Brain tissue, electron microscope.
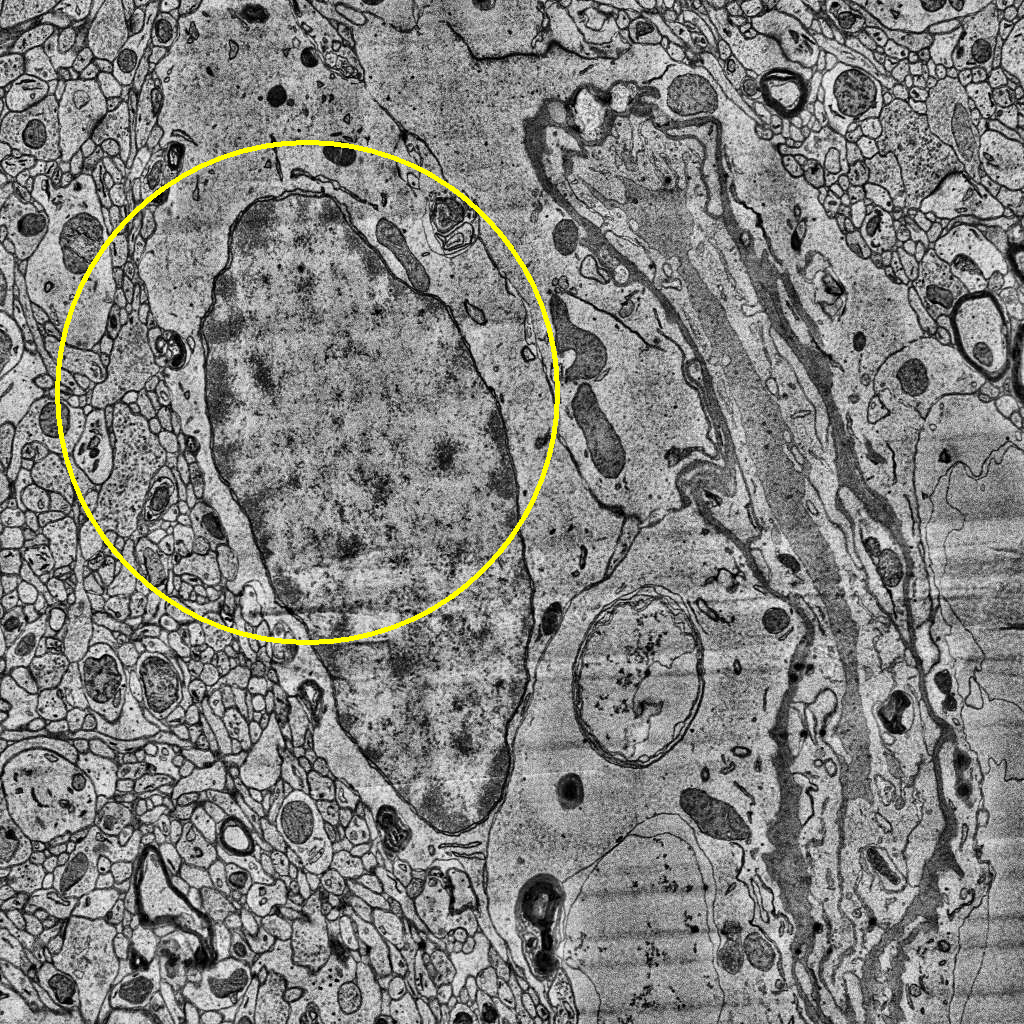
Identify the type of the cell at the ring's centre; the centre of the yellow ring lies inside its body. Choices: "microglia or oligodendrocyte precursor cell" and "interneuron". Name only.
microglia or oligodendrocyte precursor cell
